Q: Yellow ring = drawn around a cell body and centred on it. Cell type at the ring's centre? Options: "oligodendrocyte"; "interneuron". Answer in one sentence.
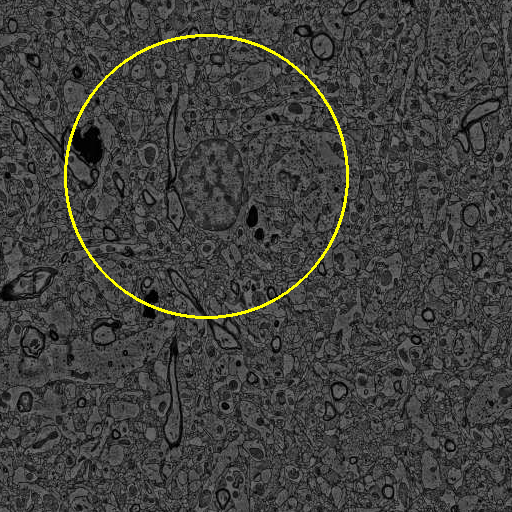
Centred in the ring is an oligodendrocyte.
